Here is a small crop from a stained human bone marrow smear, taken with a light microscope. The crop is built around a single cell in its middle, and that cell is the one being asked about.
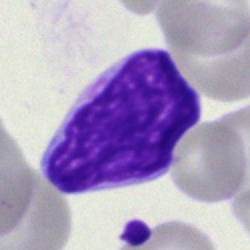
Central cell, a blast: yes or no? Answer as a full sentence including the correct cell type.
Yes, a blast is present in the middle of the crop.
